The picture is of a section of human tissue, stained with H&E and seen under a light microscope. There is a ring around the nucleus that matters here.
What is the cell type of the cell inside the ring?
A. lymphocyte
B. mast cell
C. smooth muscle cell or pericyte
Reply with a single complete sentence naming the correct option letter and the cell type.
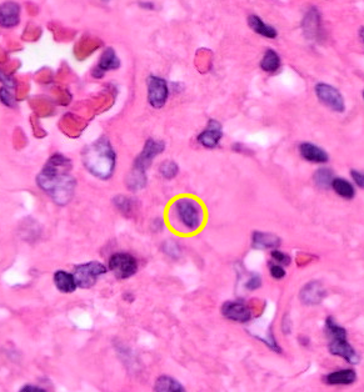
Option B properly identifies the cell inside the ring as a mast cell.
